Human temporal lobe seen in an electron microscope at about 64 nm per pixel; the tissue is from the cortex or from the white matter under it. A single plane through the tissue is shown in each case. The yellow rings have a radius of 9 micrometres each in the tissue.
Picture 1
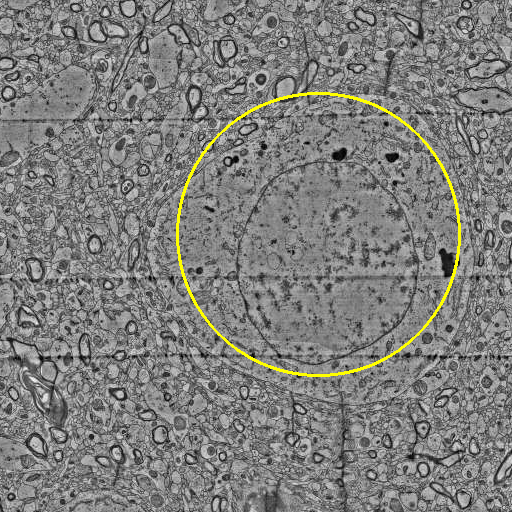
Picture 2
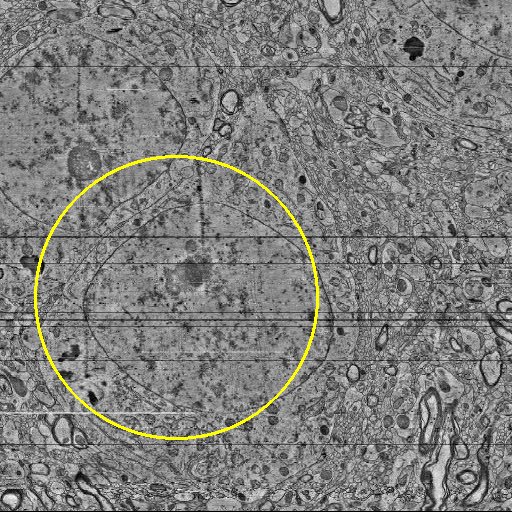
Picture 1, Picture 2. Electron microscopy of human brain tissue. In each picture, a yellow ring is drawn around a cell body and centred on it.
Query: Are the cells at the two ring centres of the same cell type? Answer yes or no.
yes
